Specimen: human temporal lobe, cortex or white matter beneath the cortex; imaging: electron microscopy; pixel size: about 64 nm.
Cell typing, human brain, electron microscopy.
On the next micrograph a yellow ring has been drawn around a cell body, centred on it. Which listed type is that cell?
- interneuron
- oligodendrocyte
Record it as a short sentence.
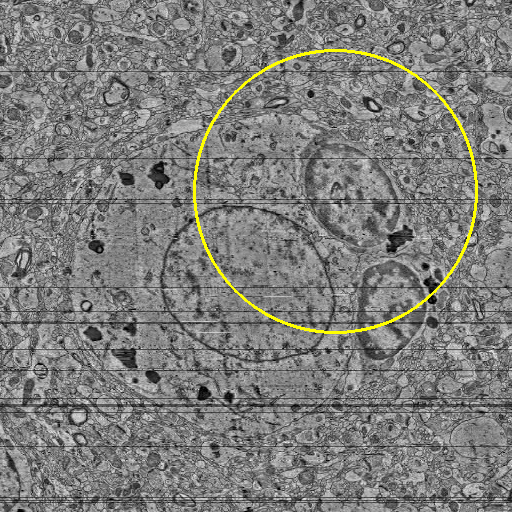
The cell body in the ring's centre belongs to an oligodendrocyte.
